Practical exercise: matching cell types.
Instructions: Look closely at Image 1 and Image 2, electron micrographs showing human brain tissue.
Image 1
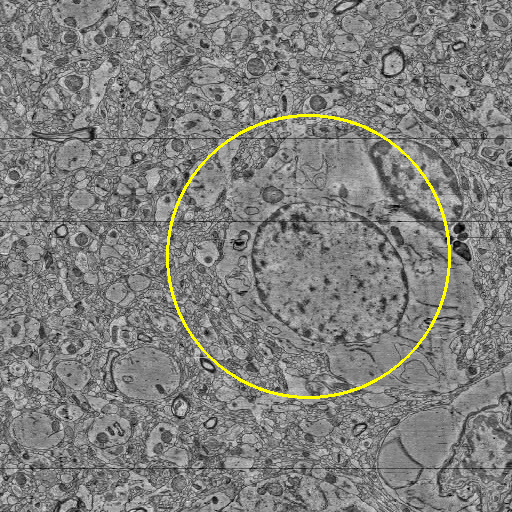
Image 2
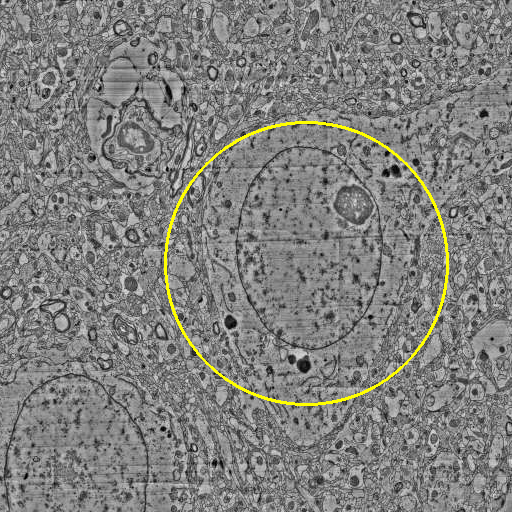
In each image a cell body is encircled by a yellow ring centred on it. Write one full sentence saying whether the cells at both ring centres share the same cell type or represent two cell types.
Across Image 1 and Image 2, the cells at the ring centres represent two cell types.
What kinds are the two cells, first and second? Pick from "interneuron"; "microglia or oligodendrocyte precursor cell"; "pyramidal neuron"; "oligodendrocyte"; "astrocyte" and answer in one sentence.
The second picture holds a pyramidal neuron in its ring, and the first holds an astrocyte.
